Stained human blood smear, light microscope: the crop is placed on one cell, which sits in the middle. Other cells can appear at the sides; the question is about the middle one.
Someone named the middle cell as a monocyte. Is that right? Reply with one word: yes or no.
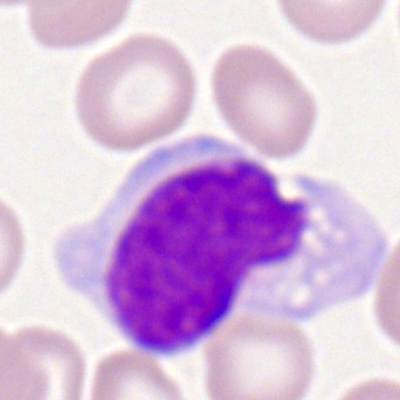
yes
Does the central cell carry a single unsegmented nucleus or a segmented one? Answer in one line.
Round, oval or kidney-shaped, the nucleus is one compact mass.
